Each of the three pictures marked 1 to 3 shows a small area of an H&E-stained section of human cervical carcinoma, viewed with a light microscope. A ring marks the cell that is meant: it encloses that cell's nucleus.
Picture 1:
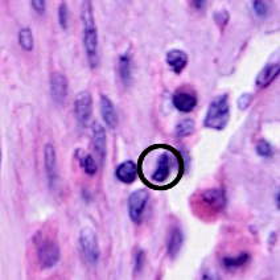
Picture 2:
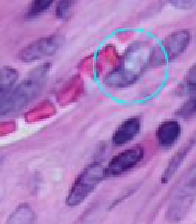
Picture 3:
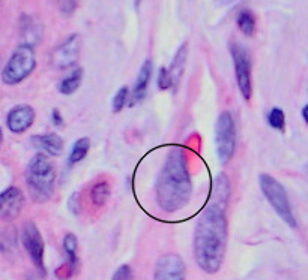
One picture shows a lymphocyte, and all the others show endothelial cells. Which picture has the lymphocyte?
1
